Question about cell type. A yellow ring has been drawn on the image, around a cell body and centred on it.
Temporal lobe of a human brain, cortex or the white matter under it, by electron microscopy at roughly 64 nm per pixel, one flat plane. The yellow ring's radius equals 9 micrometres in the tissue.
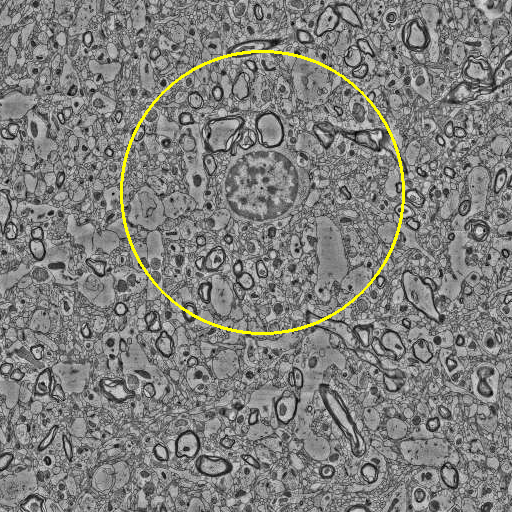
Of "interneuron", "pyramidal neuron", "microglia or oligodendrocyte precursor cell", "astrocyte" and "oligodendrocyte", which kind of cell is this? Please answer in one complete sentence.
At the centre of the ring lies an oligodendrocyte.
